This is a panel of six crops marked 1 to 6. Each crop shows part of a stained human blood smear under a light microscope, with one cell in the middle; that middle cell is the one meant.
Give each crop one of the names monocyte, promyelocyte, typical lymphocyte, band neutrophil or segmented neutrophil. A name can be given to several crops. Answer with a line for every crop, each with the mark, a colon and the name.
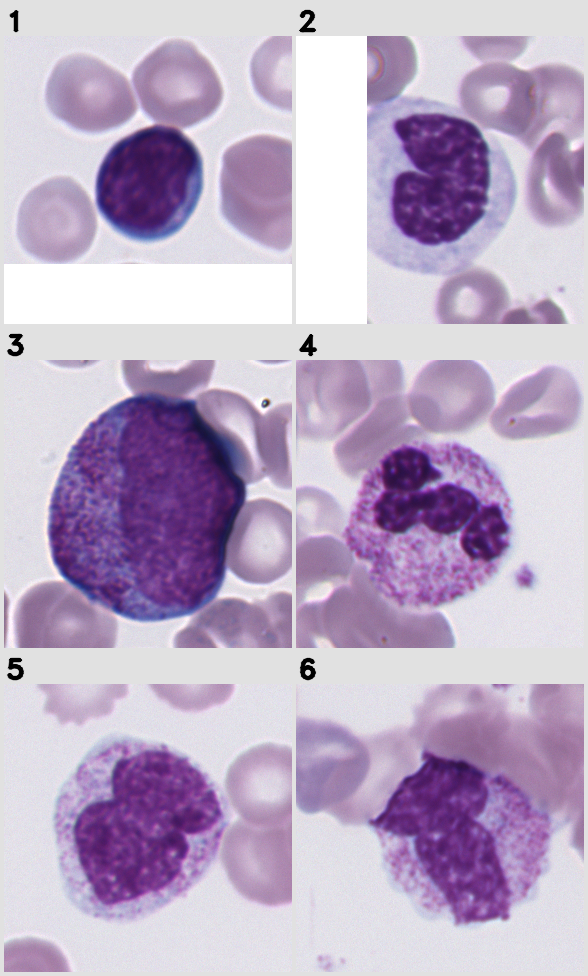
1: typical lymphocyte
2: band neutrophil
3: promyelocyte
4: segmented neutrophil
5: band neutrophil
6: band neutrophil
